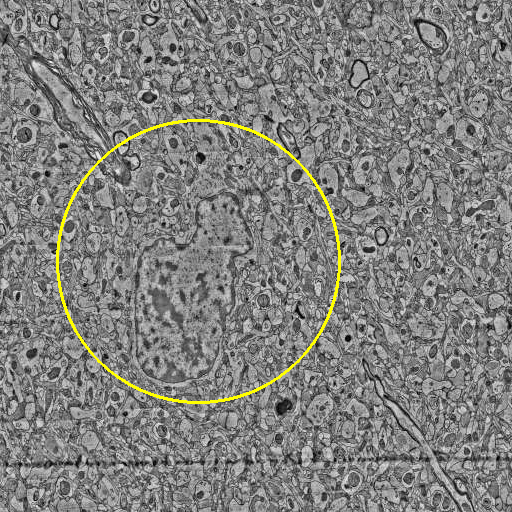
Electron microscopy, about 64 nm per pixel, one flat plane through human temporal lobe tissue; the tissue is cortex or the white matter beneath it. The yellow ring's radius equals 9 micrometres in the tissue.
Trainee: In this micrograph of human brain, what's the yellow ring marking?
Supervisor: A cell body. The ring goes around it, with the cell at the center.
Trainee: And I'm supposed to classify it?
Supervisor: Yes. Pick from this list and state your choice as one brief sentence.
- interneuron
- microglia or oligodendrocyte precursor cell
The cell at the ring's center is a microglial cell or oligodendrocyte precursor cell.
